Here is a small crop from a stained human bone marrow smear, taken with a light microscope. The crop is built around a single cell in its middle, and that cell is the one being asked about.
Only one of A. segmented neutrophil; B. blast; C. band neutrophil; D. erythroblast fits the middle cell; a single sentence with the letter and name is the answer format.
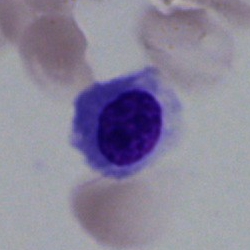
The middle cell of the crop is an erythroblast; accordingly, option D is correct.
